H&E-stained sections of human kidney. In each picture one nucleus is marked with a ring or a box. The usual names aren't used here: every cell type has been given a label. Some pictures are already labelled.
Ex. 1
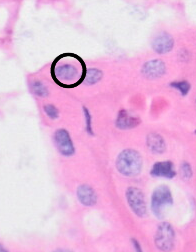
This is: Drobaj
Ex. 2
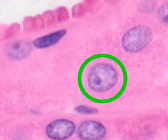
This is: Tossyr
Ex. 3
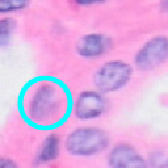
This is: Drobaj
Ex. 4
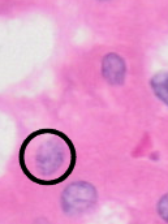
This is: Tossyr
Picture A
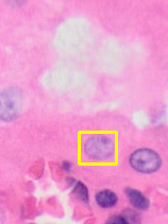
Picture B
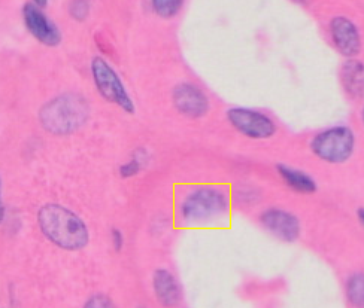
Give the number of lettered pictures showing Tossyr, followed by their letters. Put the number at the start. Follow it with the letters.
1: A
